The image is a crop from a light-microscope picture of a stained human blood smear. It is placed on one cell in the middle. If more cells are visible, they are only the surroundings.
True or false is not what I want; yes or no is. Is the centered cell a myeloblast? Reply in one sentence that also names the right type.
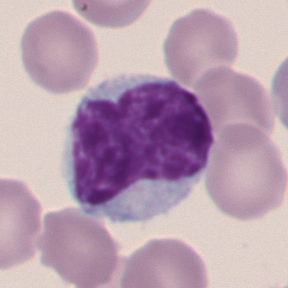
No, the central cell does not count as a myeloblast; it is a monocyte.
